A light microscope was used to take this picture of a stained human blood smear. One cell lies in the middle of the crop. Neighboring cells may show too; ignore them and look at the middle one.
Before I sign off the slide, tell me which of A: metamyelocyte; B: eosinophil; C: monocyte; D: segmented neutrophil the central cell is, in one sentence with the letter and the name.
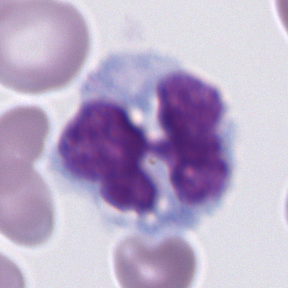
Since the cell in the centre is a monocyte, the correct option is C.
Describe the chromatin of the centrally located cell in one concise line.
Answer: the chromatin in this nucleus is coarsely clumped.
